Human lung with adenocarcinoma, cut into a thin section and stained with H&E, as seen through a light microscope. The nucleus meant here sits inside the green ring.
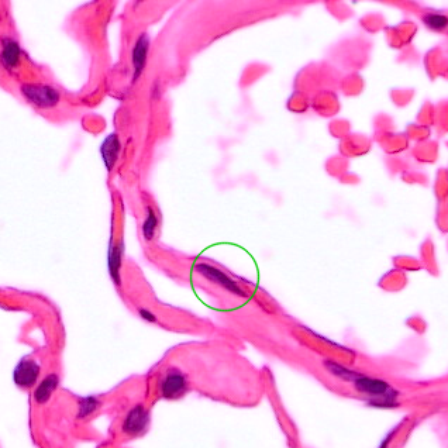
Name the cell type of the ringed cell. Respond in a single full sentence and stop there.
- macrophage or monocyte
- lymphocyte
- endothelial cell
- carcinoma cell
The cell type represented by the ringed cell is that of an endothelial cell.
